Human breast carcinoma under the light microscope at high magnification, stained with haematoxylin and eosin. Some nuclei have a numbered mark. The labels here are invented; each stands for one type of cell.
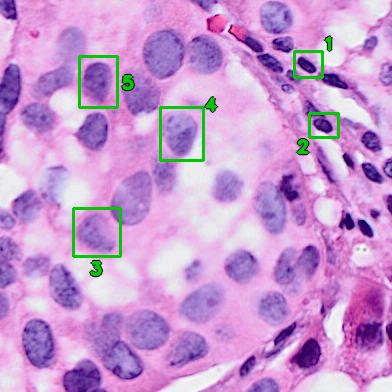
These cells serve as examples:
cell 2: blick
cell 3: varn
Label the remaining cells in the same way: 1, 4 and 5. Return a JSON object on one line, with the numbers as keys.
{"1": "blick", "4": "varn", "5": "varn"}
